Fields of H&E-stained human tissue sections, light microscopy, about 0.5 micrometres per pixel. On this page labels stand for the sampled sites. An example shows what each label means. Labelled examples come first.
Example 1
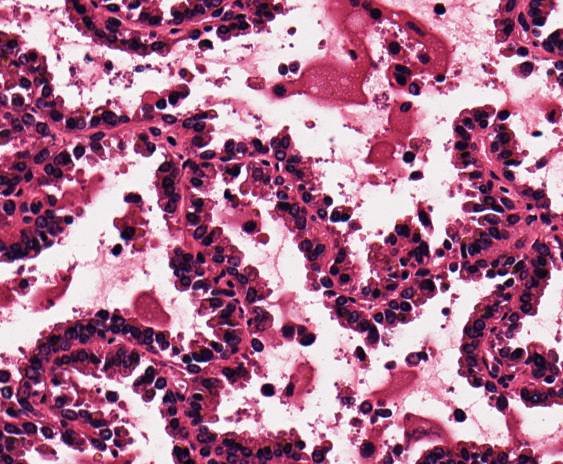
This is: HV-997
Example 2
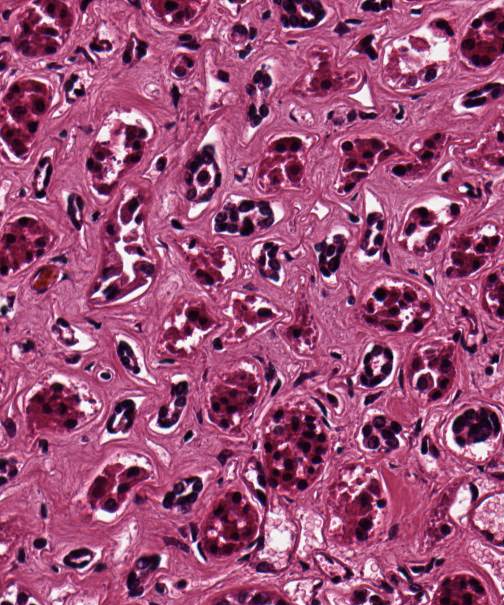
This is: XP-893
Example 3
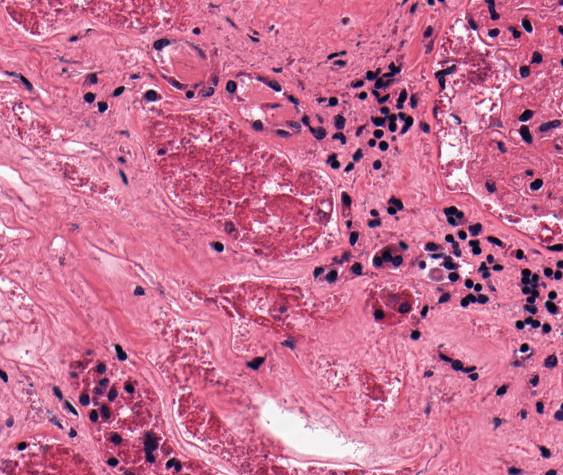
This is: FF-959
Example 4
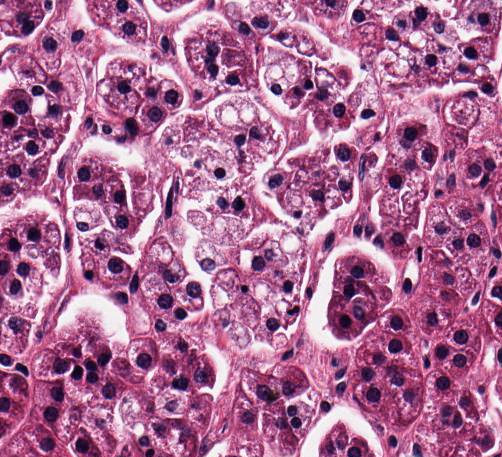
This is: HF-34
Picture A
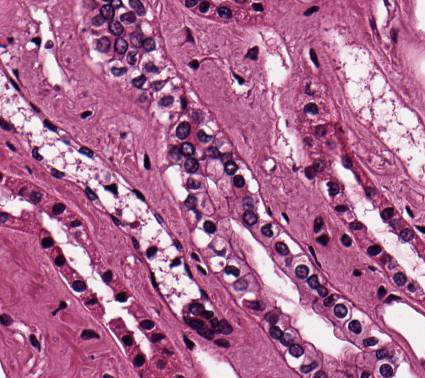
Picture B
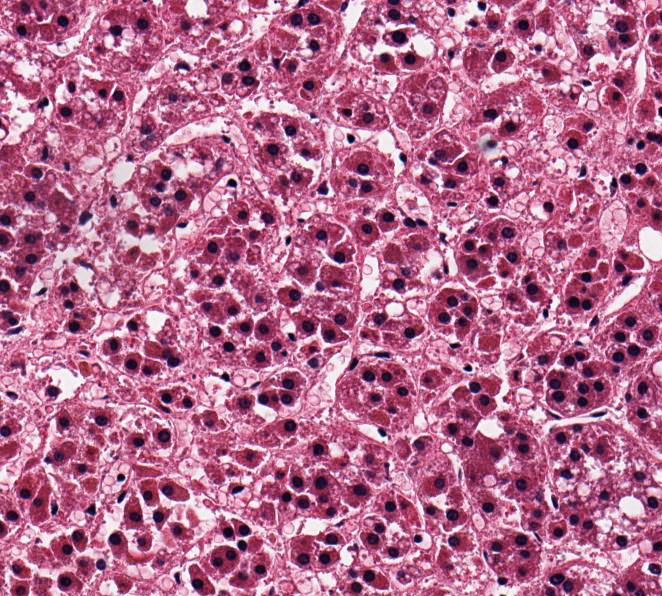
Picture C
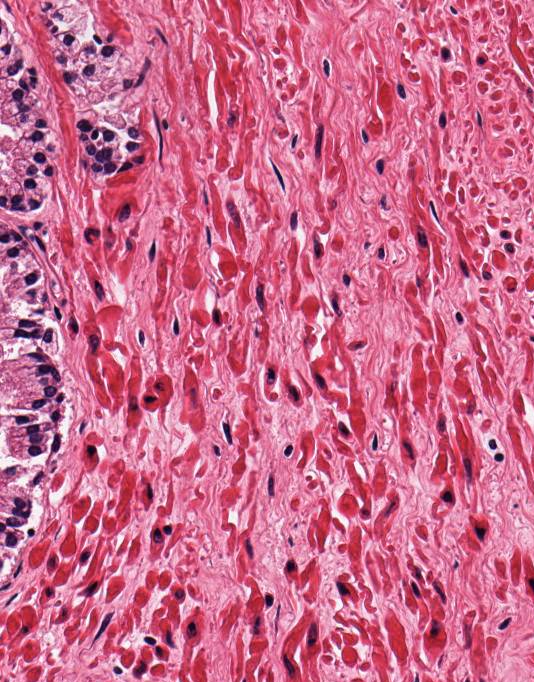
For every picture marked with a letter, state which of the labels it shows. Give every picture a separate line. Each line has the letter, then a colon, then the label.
A: XP-893
B: HF-34
C: HV-997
